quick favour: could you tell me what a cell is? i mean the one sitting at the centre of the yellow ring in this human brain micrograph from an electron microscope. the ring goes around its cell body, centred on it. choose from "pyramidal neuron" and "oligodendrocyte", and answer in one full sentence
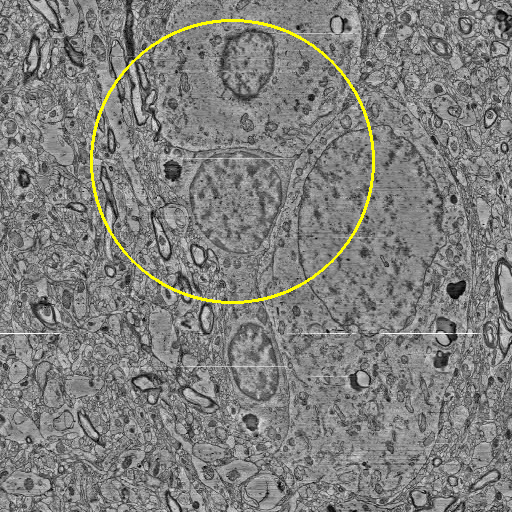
That's an oligodendrocyte, the cell sitting at the centre of the yellow ring.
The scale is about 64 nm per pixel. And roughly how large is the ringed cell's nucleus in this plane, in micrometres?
Roughly 6 micrometers across in this plane.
